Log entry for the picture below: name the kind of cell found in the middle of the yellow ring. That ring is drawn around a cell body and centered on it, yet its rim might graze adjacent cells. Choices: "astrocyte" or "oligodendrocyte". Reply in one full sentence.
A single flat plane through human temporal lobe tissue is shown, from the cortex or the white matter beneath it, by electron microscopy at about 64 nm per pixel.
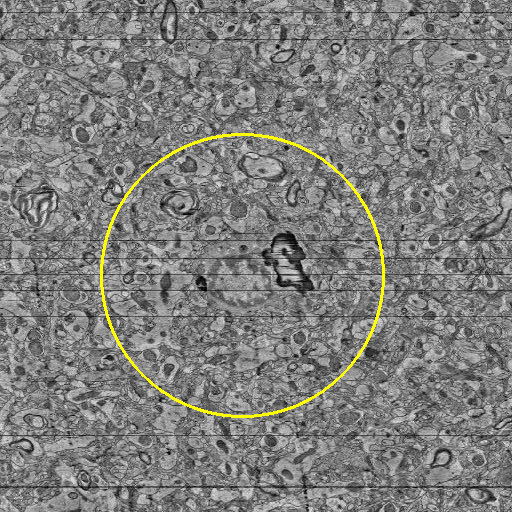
The cell in the middle of the yellow ring in this picture is an oligodendrocyte.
